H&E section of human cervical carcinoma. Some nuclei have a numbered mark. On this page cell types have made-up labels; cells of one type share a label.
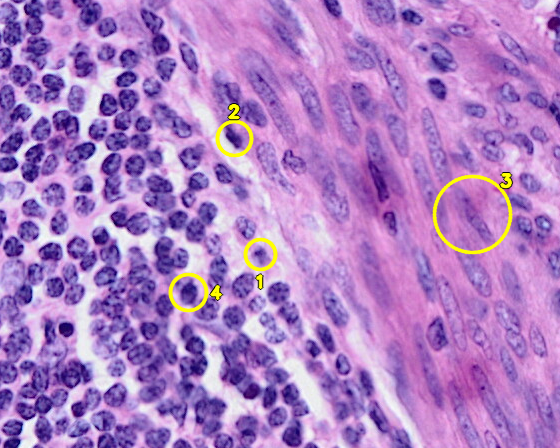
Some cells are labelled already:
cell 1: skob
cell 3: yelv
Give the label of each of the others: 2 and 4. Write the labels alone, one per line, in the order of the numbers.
skob
skob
